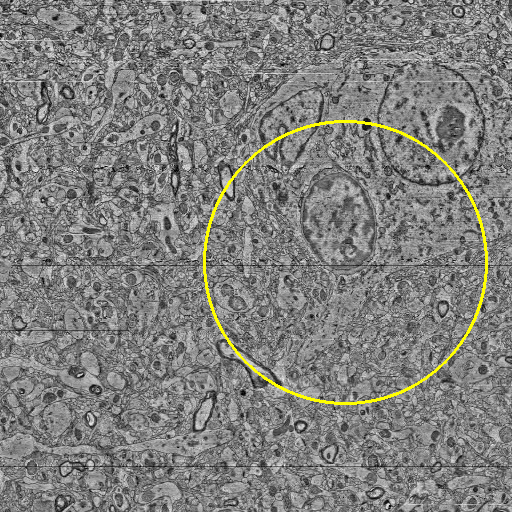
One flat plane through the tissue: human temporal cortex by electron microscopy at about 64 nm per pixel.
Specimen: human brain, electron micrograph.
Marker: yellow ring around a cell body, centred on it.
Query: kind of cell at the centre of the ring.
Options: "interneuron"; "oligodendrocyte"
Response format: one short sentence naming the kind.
This cell body belongs to an oligodendrocyte.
